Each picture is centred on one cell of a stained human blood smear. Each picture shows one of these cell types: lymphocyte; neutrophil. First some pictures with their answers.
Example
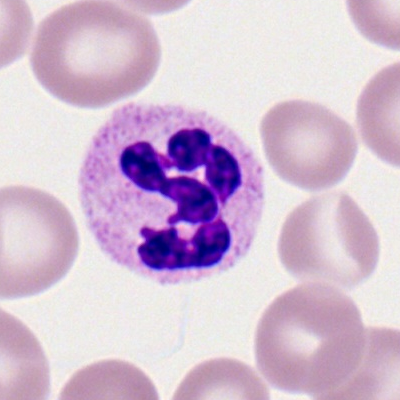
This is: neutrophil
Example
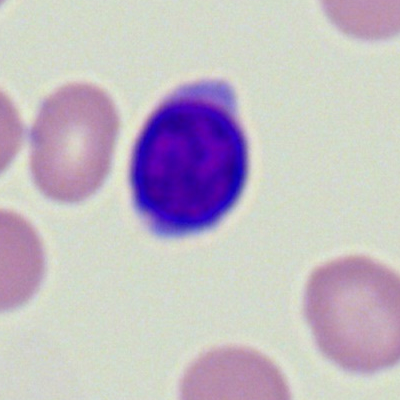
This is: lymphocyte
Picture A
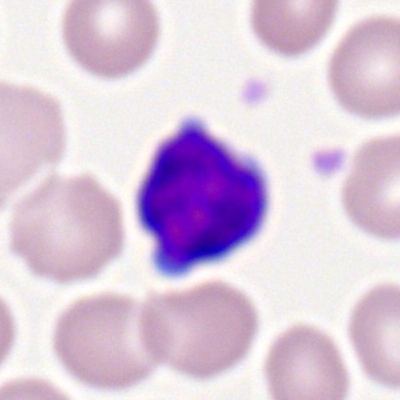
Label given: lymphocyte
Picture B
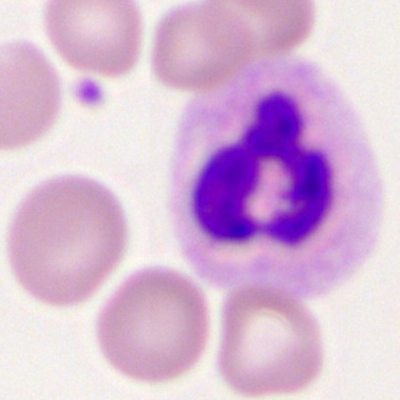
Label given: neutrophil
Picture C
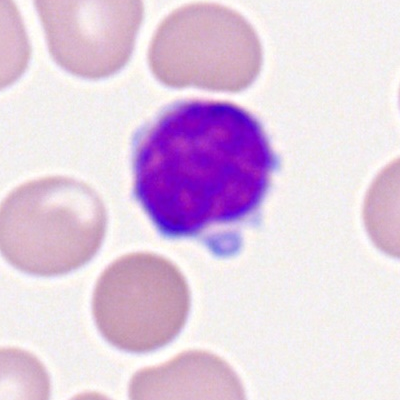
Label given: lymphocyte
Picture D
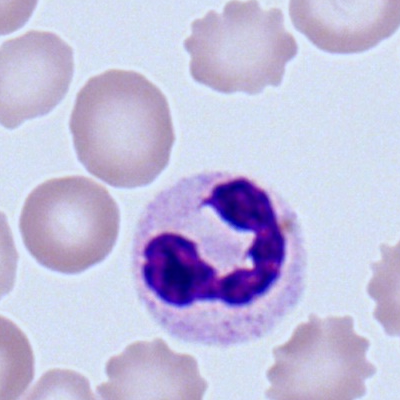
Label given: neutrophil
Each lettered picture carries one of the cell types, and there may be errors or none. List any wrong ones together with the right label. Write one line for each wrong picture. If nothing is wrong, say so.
Every label is right.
